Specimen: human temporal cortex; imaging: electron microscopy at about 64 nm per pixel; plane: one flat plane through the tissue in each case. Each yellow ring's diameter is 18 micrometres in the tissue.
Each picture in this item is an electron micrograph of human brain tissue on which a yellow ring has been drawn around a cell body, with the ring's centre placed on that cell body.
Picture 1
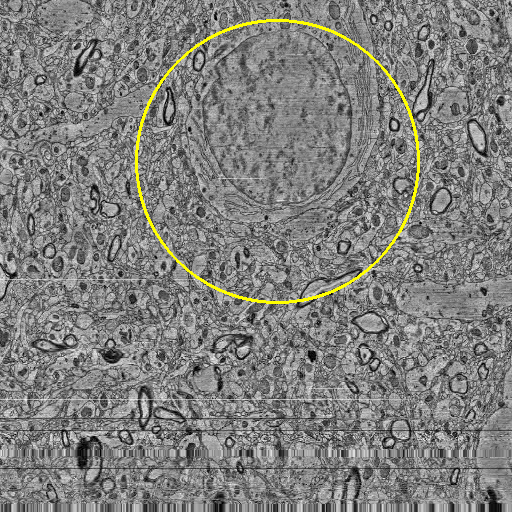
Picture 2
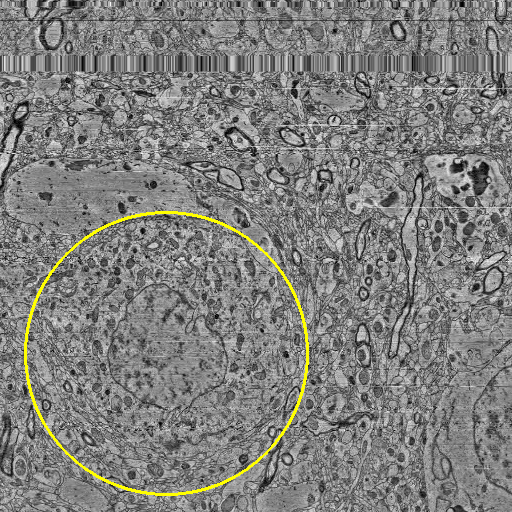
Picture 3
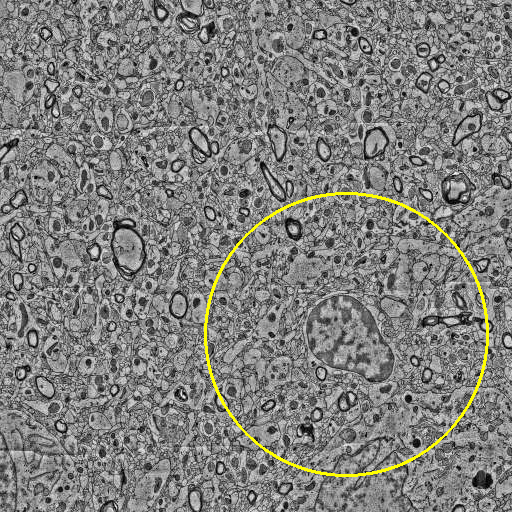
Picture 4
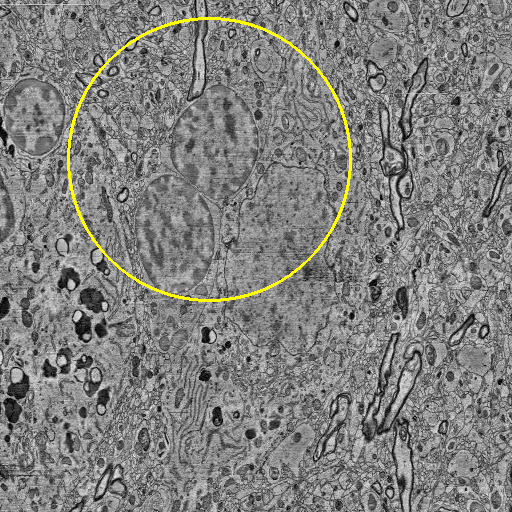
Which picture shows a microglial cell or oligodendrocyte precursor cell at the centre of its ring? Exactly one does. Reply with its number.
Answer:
3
